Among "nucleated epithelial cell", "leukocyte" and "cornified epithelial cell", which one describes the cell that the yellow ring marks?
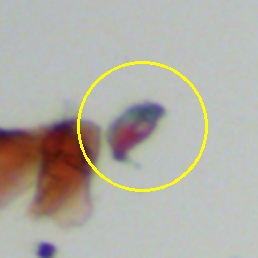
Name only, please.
nucleated epithelial cell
